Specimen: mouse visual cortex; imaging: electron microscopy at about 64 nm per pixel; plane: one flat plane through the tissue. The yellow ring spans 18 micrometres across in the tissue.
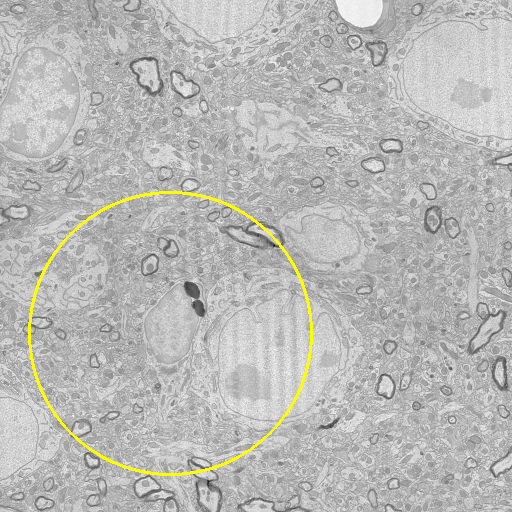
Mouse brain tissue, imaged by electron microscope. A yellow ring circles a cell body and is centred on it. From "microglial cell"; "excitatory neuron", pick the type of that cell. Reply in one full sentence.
The cell body at the centre of the yellow ring belongs to a microglial cell.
